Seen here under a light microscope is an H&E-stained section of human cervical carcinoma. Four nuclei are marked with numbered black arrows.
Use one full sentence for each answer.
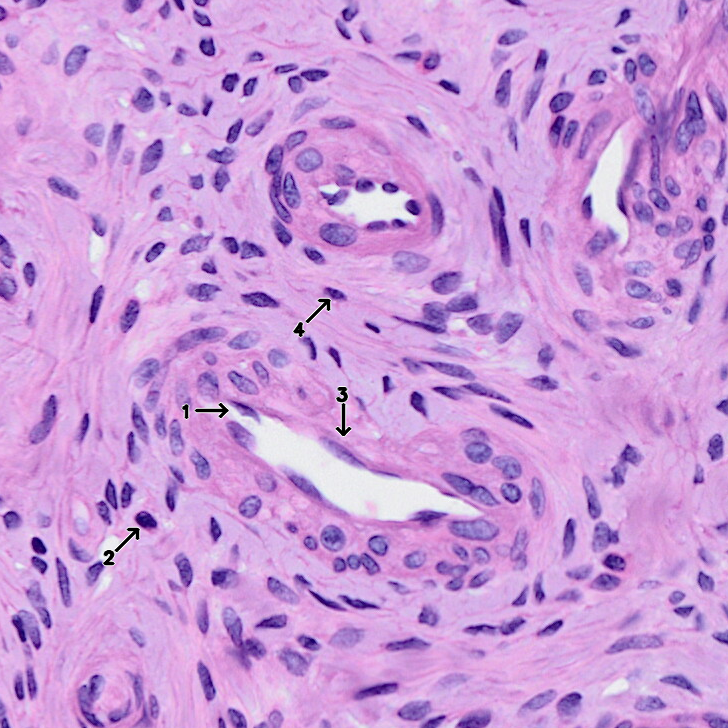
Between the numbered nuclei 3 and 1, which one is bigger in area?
Of the two, number 3 is bigger and takes up about 2 times the area of number 1.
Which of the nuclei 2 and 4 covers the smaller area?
With nucleus 2 about 1.5 times its size, nucleus 4 is the smaller of the two.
